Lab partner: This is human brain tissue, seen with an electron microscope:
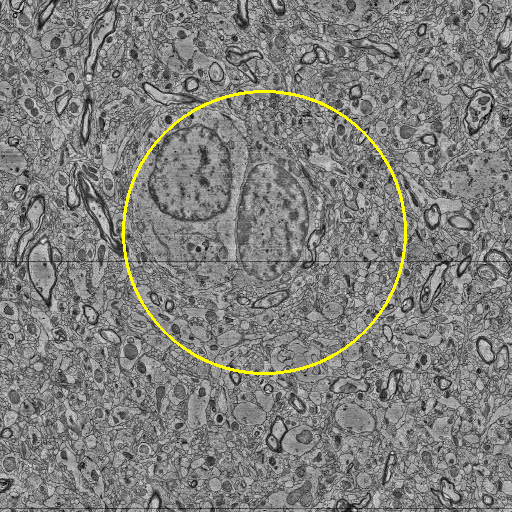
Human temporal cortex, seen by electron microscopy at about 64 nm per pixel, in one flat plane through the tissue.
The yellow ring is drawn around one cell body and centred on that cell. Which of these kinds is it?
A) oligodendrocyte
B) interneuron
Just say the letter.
A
